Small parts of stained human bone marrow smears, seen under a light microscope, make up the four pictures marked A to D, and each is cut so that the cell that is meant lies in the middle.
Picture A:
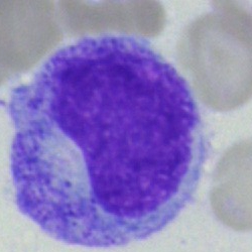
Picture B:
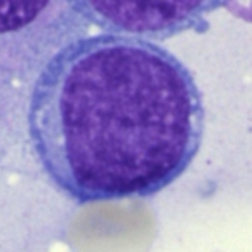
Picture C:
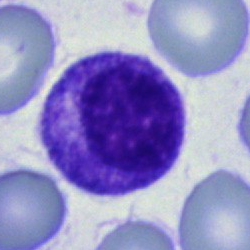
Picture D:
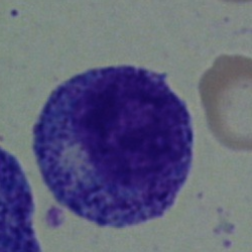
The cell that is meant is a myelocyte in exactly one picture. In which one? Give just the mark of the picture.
D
